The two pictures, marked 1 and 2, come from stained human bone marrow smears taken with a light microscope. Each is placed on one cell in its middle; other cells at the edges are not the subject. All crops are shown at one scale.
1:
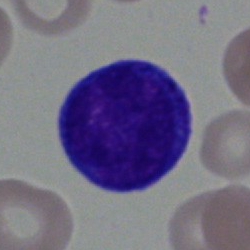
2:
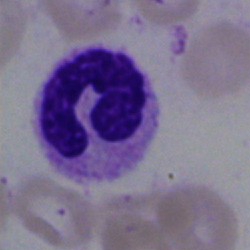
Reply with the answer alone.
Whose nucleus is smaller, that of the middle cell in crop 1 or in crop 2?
2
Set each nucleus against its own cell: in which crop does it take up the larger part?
1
